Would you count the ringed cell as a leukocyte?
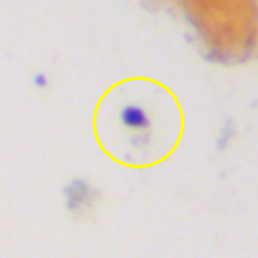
Yes, I would count it as a leukocyte.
